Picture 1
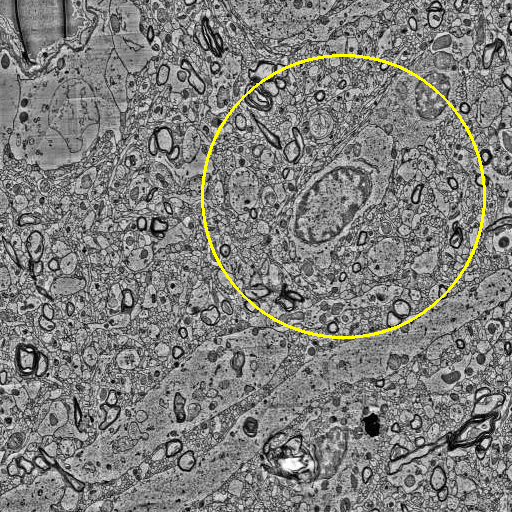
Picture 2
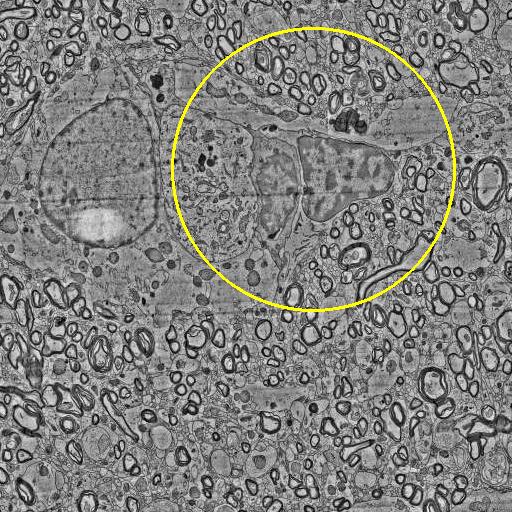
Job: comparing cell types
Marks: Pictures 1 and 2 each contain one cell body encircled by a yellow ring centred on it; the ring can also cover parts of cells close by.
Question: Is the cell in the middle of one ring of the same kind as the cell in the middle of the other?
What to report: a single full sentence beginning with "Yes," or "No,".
Yes, the cell at the ring centre in Picture 1 and its partner in Picture 2 are of one kind.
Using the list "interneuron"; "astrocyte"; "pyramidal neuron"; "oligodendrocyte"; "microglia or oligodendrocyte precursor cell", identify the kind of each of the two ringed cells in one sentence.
Each of the ringed cells, first and second, is a microglial cell or oligodendrocyte precursor cell.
